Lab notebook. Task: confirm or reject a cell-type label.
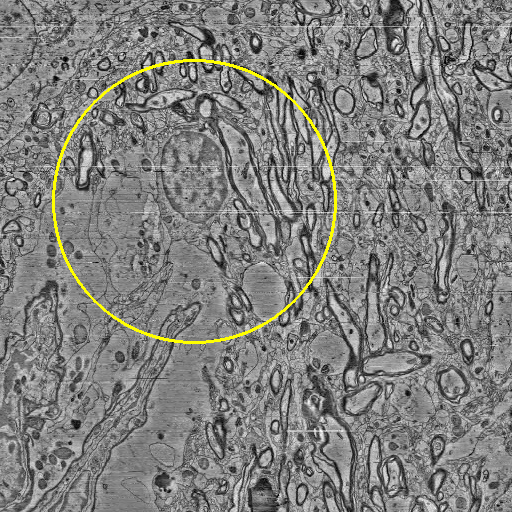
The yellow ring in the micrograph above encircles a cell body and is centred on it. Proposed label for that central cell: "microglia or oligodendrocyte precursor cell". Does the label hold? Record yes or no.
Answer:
no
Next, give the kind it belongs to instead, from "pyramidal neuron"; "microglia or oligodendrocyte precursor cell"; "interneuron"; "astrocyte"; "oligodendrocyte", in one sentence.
The cell ringed in the picture is an oligodendrocyte.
